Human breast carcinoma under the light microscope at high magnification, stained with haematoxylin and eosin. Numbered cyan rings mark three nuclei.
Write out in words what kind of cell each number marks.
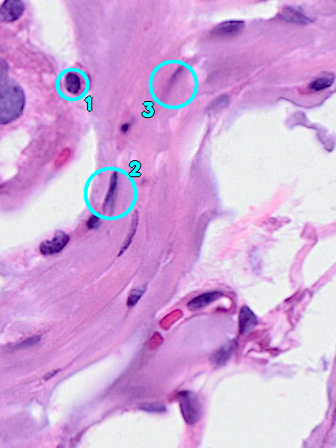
Cell 1 is a mast cell. Cells 2 and 3 are fibroblasts.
